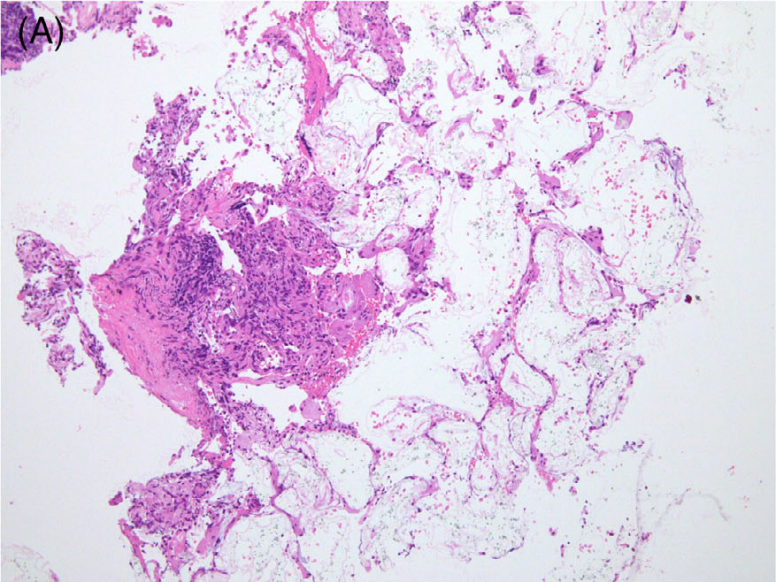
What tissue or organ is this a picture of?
Alveolar structure.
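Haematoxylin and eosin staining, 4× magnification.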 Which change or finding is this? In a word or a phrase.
Fibrous interstitium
